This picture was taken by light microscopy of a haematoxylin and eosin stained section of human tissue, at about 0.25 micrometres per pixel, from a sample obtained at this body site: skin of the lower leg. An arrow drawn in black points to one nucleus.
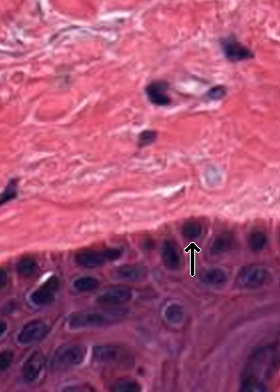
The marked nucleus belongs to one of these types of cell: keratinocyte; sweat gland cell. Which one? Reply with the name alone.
keratinocyte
